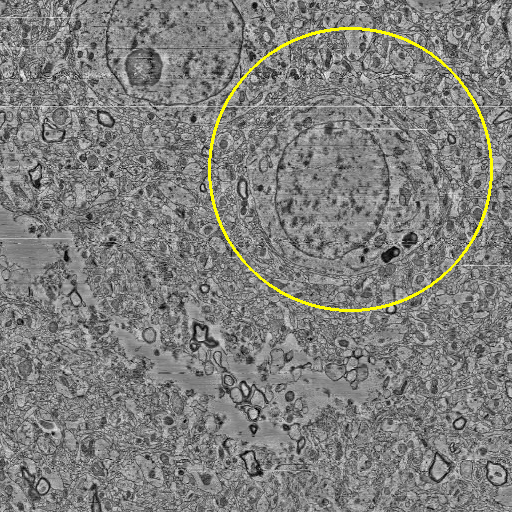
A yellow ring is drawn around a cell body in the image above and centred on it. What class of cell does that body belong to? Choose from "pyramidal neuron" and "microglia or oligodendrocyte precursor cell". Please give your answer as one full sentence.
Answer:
The yellow ring above is centred on the cell body of a pyramidal neuron.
